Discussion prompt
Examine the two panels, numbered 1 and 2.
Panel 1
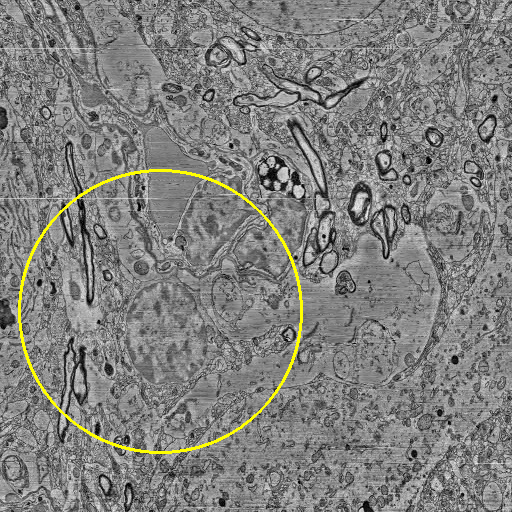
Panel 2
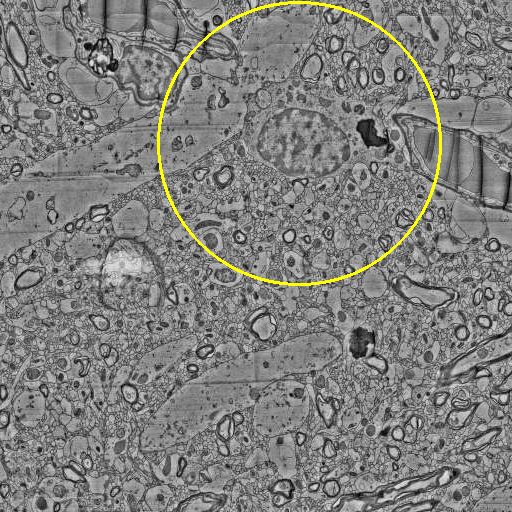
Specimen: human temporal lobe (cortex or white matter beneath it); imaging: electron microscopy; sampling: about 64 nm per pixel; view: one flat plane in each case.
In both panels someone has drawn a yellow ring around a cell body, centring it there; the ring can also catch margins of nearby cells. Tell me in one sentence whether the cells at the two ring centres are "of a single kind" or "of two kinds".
Taken together, the two cells centred in the rings of Panels 1 and 2 are of a single kind.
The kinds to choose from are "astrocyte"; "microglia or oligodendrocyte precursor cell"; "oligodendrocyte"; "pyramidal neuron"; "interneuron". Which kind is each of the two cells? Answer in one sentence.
The cell in the first picture is an oligodendrocyte, and so is the one in the second.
